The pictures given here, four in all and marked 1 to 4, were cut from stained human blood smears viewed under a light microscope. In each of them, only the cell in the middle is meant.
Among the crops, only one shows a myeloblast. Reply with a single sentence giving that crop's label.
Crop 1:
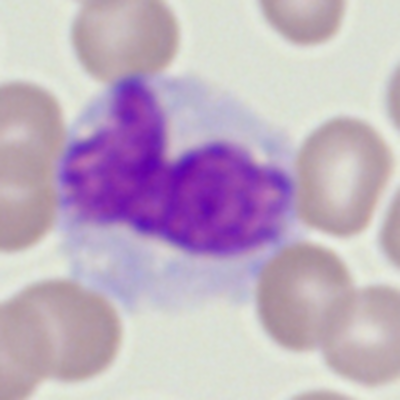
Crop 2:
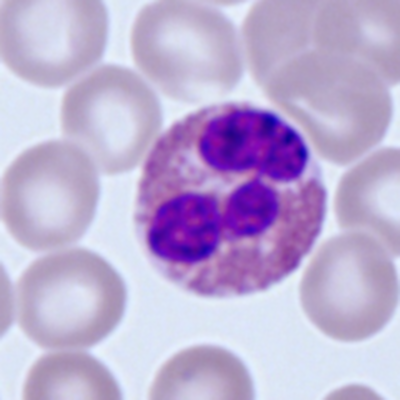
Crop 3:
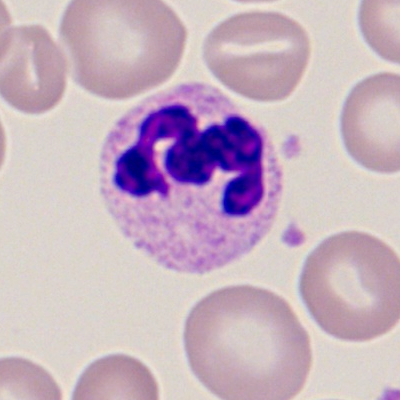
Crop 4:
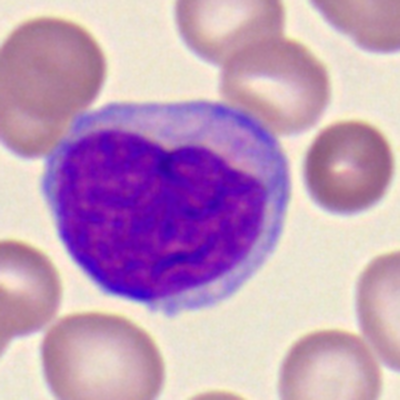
The requested cell, a myeloblast, is the one in crop 4.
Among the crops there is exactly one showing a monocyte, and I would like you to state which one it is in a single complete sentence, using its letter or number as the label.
Crop 1 is the one in the set with a monocyte at the center.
